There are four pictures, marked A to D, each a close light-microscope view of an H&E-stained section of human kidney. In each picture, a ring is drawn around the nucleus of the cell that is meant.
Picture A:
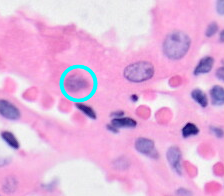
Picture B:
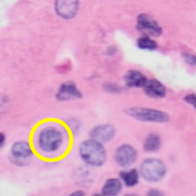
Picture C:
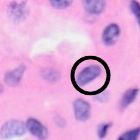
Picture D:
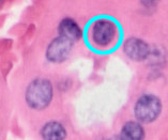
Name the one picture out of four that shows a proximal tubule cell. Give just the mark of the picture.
A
